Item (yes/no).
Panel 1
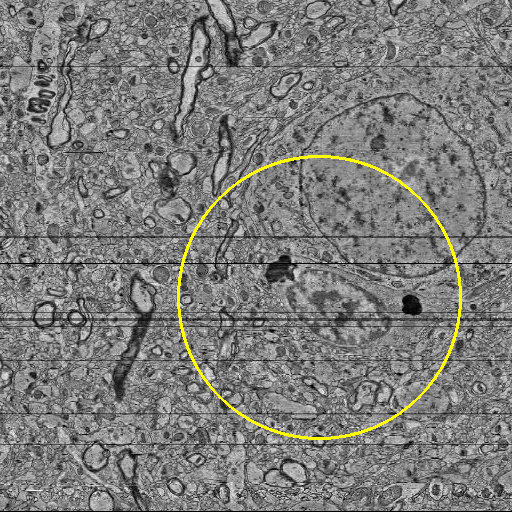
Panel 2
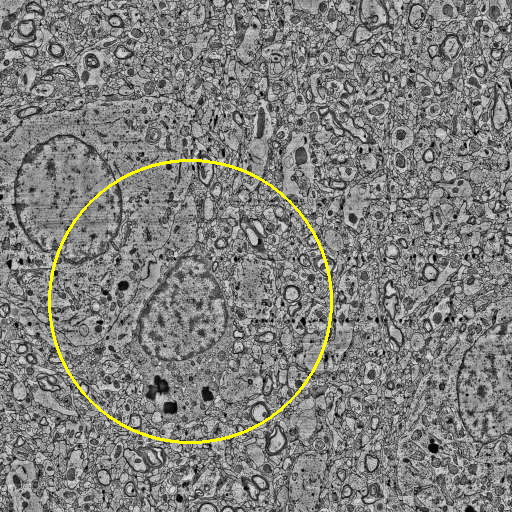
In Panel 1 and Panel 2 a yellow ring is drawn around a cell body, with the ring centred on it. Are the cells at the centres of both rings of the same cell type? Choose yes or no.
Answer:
yes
